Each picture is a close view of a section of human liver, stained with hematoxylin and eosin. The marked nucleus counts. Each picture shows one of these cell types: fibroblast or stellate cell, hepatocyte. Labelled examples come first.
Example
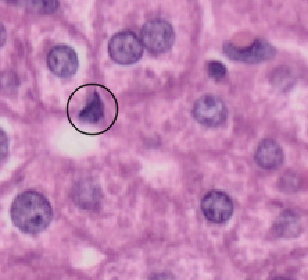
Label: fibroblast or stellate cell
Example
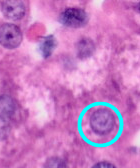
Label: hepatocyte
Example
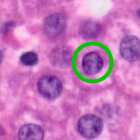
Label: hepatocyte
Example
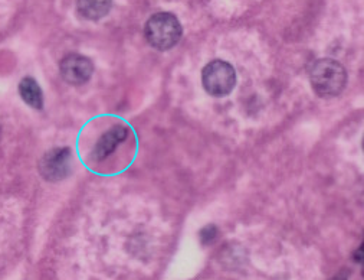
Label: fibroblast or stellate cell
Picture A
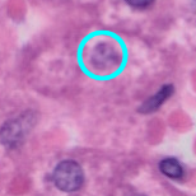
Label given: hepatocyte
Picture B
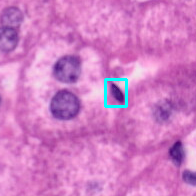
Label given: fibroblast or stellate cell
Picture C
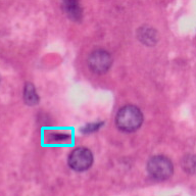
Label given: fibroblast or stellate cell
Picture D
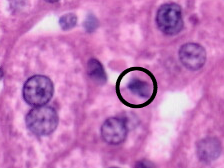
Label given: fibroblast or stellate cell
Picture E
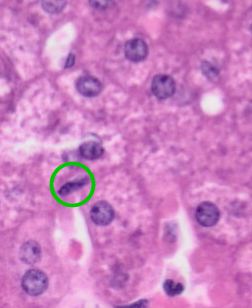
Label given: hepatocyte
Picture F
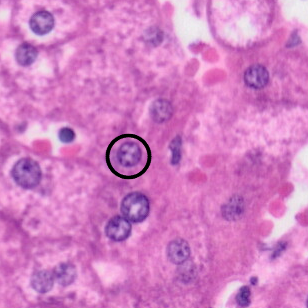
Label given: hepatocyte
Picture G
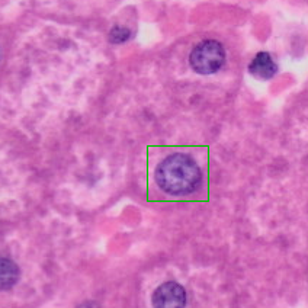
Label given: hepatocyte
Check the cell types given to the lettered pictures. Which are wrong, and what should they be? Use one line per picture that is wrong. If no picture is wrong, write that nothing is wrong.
E is labelled hepatocyte; correct label: fibroblast or stellate cell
